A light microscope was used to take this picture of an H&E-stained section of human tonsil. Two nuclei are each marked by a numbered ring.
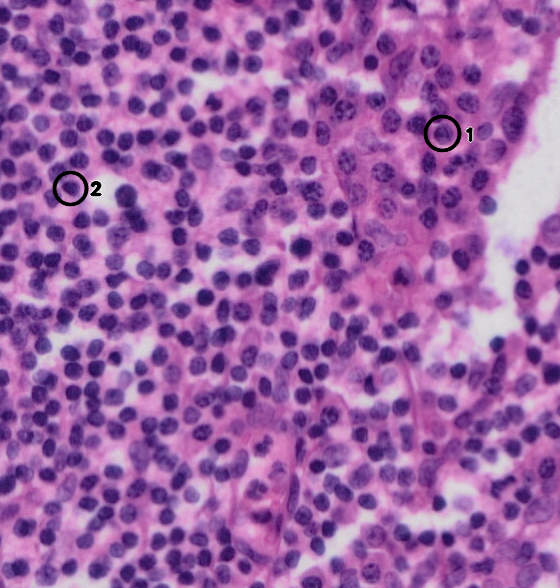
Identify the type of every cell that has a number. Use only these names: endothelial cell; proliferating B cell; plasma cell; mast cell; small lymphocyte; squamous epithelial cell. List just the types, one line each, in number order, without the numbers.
plasma cell
small lymphocyte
